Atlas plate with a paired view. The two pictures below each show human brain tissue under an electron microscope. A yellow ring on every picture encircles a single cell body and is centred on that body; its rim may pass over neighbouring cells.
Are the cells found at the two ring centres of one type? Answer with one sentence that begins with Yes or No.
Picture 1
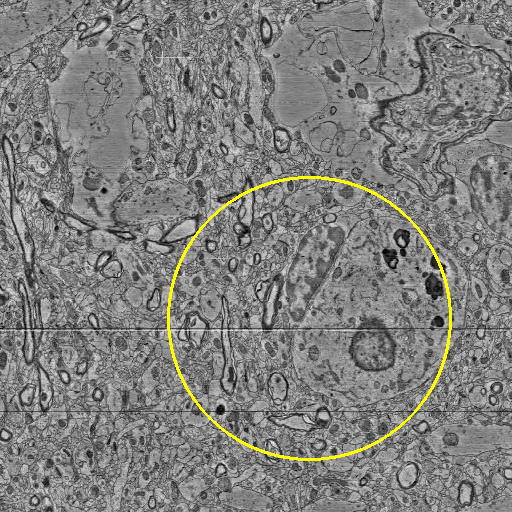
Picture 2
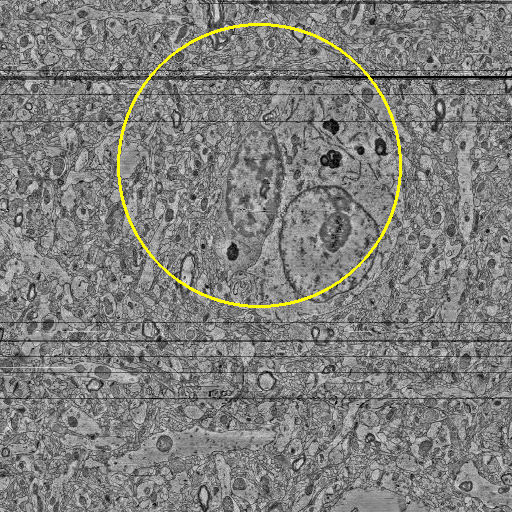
No, the two cells lying at the centres of the rings are of two types.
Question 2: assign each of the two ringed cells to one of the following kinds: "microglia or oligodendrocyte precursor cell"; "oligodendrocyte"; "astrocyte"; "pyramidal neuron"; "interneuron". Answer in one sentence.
The two cells are a microglial cell or oligodendrocyte precursor cell in the first picture and an oligodendrocyte in the second.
